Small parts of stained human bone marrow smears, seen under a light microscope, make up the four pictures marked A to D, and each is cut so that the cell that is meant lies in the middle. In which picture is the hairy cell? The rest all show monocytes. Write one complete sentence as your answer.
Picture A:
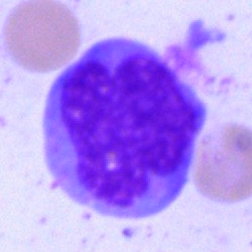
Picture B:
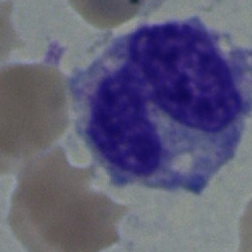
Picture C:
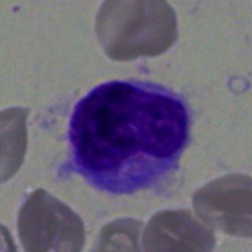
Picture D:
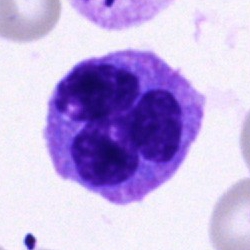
It is picture C that shows the hairy cell.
